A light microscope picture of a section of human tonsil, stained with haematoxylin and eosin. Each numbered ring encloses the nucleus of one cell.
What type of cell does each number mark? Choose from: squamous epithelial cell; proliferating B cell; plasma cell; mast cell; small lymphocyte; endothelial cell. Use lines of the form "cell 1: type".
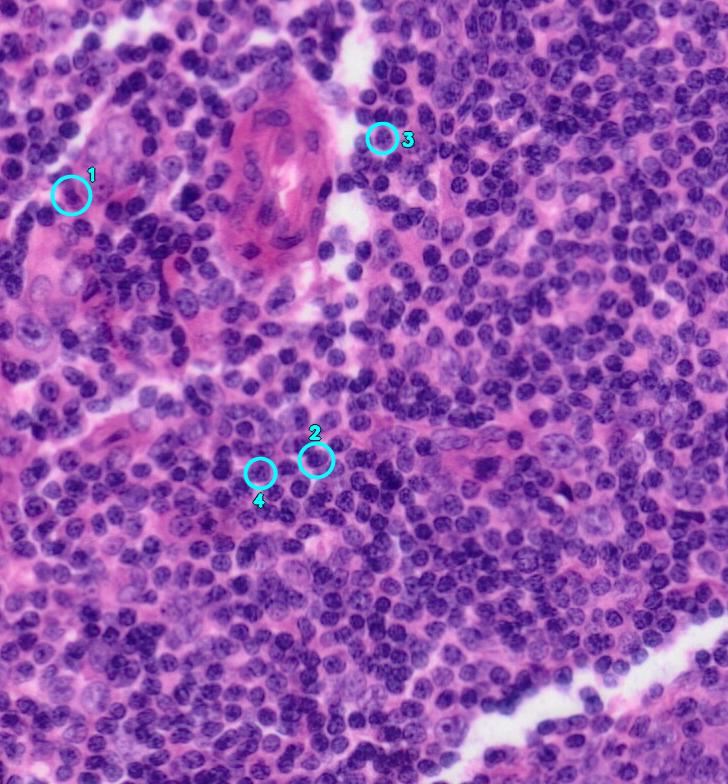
cell 1: endothelial cell
cell 2: small lymphocyte
cell 3: small lymphocyte
cell 4: small lymphocyte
